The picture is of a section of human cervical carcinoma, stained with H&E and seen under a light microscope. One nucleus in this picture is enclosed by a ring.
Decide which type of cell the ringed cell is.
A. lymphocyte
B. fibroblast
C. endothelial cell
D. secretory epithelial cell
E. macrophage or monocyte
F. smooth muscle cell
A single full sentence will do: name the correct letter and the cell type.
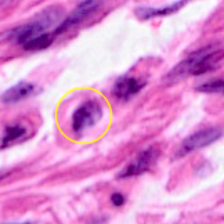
Best answer: option E, with the ringed cell being a macrophage or monocyte.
